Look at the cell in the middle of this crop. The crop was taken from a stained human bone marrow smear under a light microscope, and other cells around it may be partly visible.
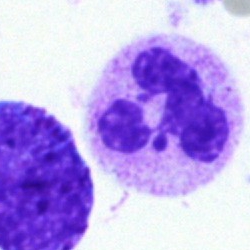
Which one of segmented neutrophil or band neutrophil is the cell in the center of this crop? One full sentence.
Located at the centre of the crop is a segmented neutrophil.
